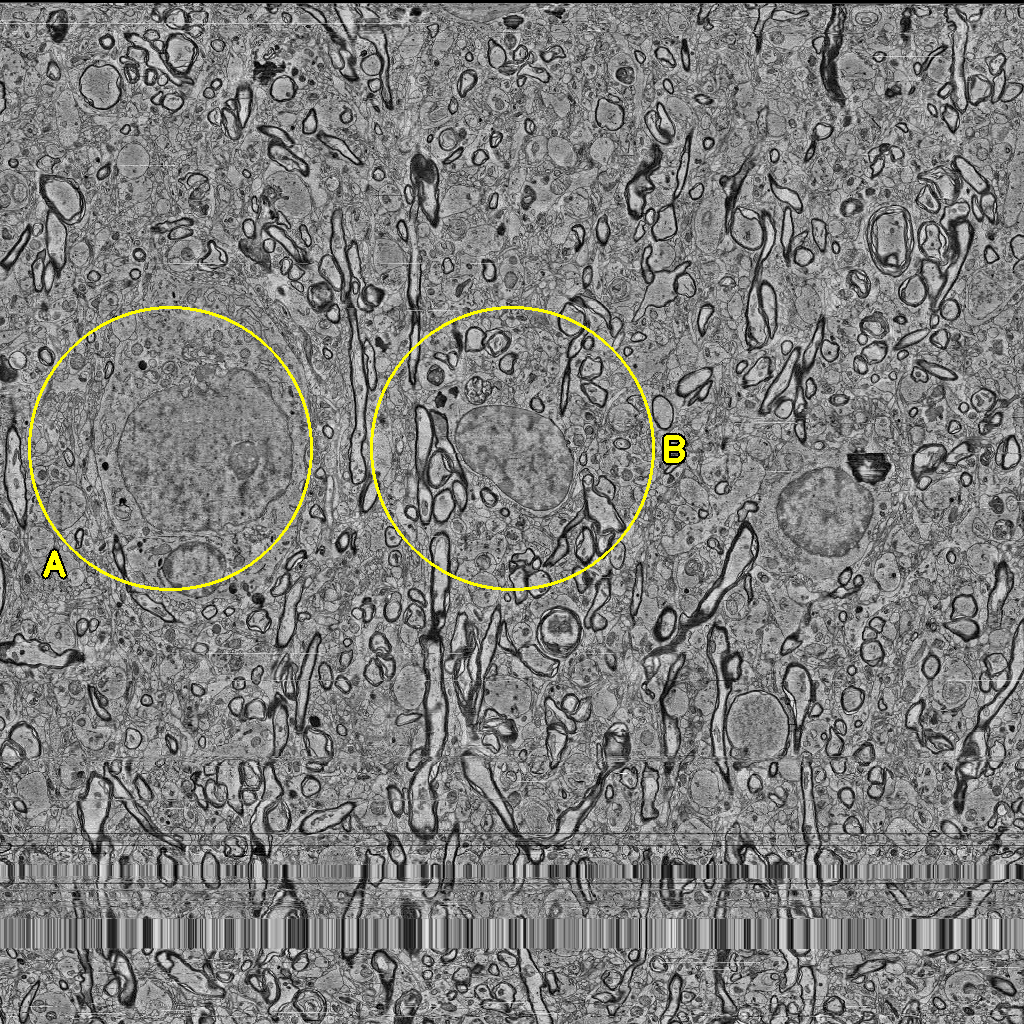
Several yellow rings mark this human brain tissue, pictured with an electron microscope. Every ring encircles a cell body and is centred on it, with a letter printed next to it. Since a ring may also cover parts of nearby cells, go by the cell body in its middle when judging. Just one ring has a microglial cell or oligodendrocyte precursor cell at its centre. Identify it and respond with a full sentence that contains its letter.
The answer is ring B, whose centre rests on the cell asked for.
